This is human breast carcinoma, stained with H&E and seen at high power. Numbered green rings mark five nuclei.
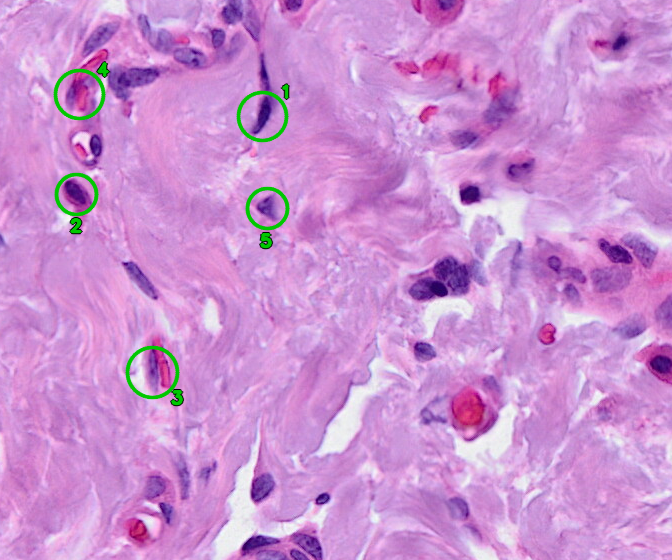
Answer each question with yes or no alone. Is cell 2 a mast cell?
yes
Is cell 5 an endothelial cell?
no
